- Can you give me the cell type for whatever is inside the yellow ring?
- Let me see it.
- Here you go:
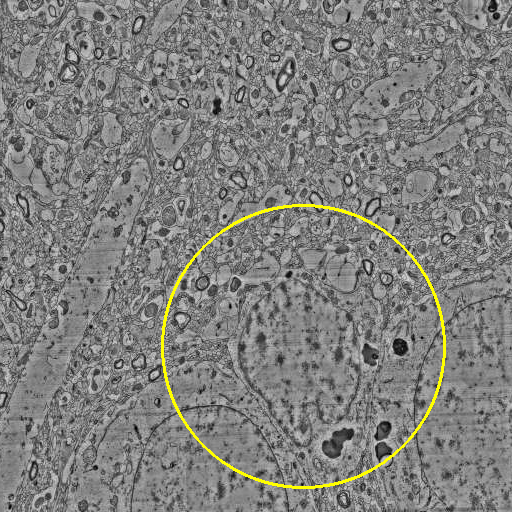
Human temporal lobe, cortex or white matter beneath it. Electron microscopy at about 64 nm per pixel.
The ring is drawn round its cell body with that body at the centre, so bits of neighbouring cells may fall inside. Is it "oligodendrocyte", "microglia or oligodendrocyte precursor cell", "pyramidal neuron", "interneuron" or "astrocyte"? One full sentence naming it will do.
The cell body in the middle of the ring in this picture belongs to an interneuron.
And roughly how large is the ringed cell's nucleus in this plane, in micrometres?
In this plane the nucleus is about 11 micrometres by 8.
